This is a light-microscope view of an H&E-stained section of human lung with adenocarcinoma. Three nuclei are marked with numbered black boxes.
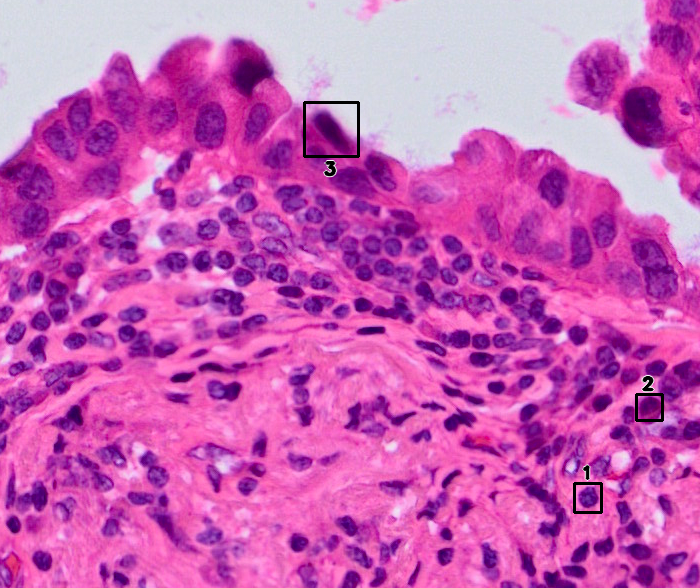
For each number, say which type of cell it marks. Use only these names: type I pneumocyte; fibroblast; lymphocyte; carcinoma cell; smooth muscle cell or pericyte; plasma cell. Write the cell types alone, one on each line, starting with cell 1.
lymphocyte
plasma cell
carcinoma cell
